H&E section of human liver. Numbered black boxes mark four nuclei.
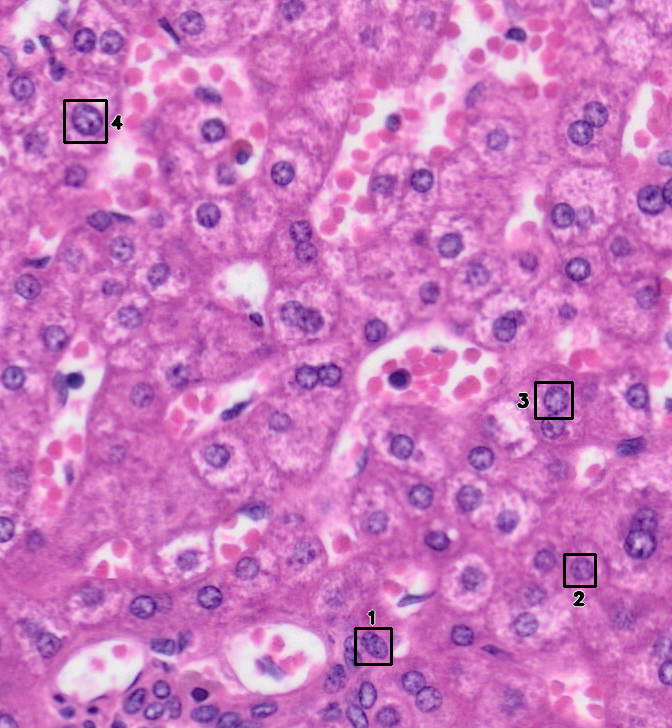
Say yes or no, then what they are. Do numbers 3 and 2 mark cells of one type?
Yes, cells 3 and 2 are hepatocytes, both of them.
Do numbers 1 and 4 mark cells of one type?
No, the cell marked 1 is a cholangiocyte, and the cell marked 4 is a hepatocyte.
